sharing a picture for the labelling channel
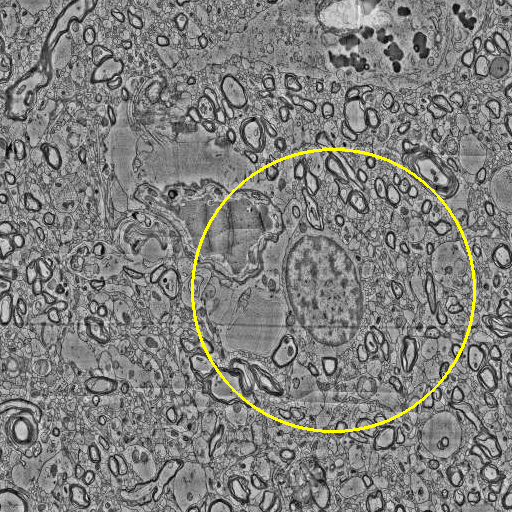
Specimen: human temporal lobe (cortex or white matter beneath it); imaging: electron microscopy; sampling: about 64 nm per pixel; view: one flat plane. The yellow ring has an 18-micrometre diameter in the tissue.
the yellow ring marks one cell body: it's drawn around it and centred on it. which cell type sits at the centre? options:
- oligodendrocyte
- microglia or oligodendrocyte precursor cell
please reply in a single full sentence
In the picture, the cell at the ring's centre is an oligodendrocyte, going by the list.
